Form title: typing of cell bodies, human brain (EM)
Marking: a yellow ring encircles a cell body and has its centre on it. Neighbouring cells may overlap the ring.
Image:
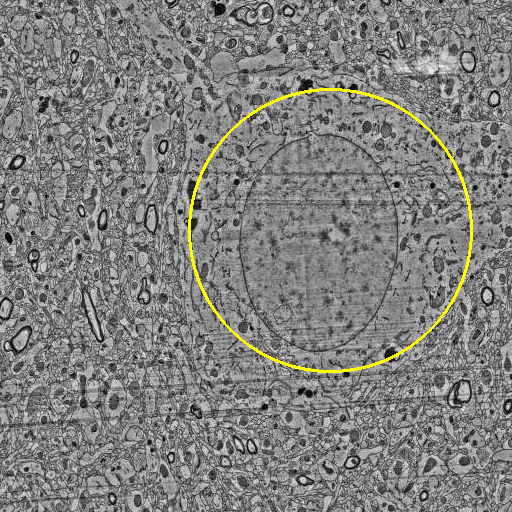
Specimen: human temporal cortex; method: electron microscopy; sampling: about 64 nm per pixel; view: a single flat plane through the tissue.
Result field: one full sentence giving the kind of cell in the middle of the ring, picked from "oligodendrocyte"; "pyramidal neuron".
In the picture, the ring is centred on a pyramidal neuron, whose cell body it encircles.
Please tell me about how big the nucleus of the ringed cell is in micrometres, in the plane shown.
About 14 micrometres by about 11 micrometres in this plane.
